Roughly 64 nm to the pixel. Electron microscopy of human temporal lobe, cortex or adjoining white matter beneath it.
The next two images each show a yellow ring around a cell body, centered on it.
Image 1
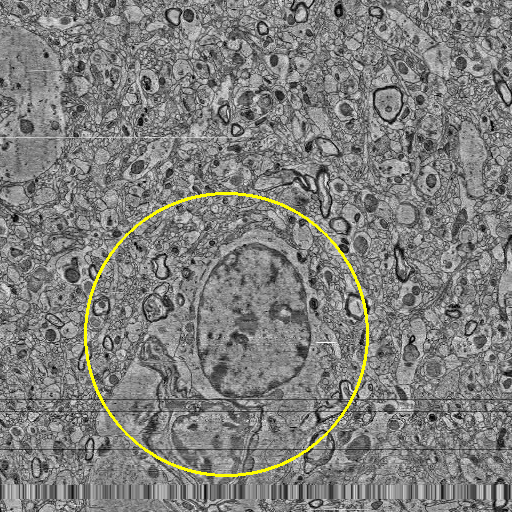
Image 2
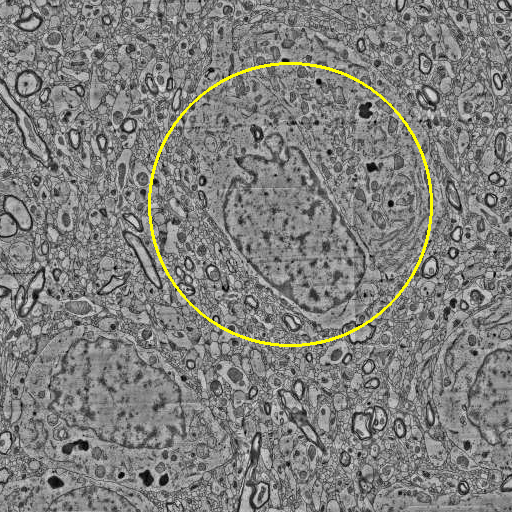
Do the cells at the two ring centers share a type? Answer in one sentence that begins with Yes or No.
Yes, across the two images the cells at the ring centers share one type.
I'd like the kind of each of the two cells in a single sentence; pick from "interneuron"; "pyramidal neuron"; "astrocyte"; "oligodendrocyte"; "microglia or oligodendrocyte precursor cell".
Each cell at the centre of a ring is a microglial cell or oligodendrocyte precursor cell.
